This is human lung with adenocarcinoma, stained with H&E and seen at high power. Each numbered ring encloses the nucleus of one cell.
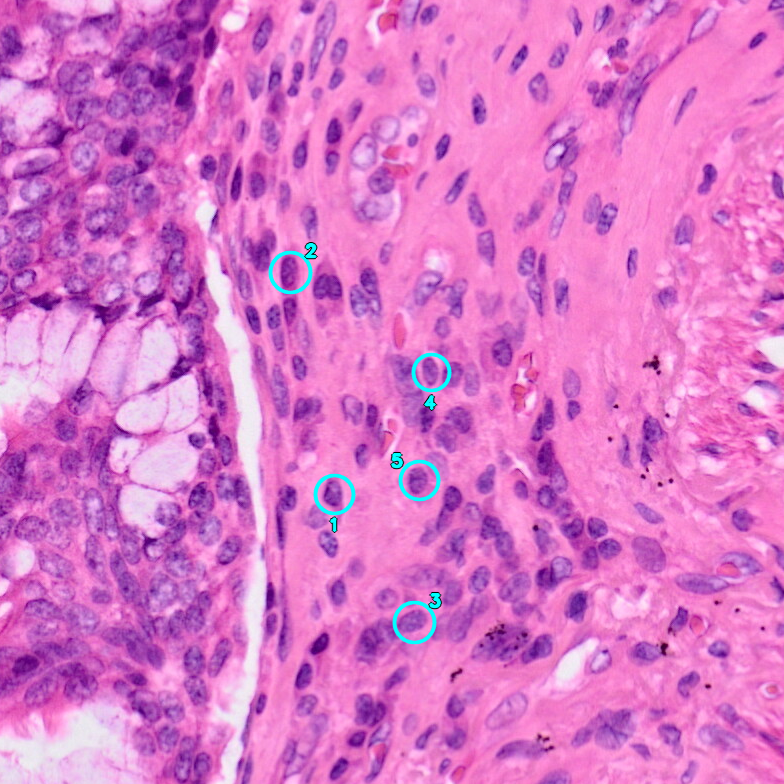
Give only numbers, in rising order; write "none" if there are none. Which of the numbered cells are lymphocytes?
4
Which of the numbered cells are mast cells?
3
